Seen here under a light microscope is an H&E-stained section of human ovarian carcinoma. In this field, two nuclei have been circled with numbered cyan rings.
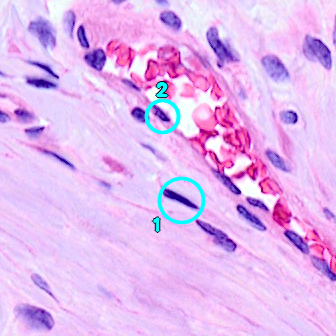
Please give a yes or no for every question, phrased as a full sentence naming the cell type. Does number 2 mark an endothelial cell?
Yes, the cell tagged with number 2 is an endothelial cell.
